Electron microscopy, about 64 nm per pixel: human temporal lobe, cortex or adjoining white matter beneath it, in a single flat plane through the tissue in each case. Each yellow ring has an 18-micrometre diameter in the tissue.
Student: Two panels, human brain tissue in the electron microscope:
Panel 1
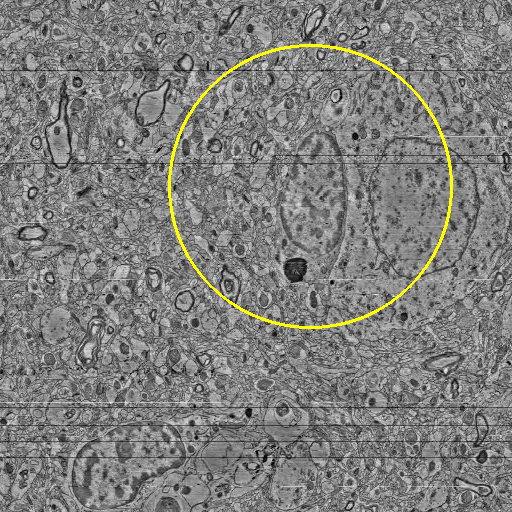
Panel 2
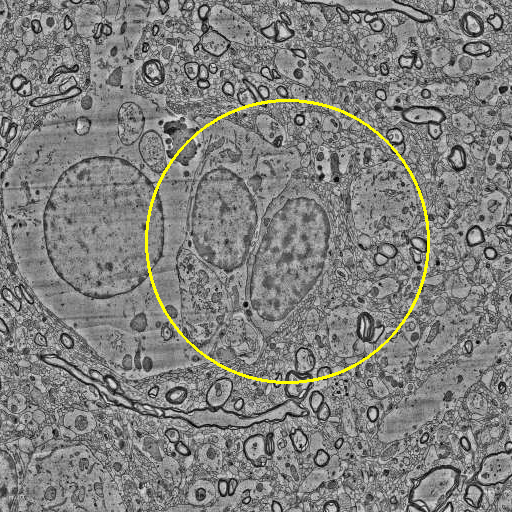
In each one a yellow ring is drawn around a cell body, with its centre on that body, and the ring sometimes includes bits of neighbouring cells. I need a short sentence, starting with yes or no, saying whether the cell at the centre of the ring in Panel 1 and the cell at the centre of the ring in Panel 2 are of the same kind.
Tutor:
Yes, they are the same kind of cell.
